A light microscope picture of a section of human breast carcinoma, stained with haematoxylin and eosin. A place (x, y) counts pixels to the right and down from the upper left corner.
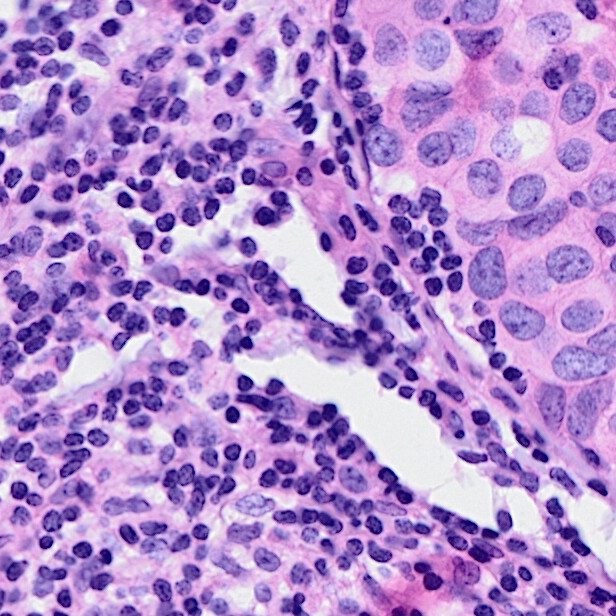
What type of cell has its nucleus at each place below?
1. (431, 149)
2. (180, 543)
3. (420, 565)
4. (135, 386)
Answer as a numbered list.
1. carcinoma cell
2. lymphocyte
3. lymphocyte
4. lymphocyte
